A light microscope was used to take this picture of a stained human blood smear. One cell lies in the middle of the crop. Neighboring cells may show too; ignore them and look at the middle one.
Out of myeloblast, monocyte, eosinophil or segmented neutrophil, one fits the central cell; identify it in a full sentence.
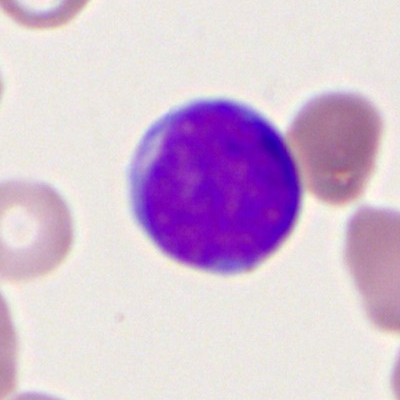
The cell in the exact centre of the crop is a myeloblast.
